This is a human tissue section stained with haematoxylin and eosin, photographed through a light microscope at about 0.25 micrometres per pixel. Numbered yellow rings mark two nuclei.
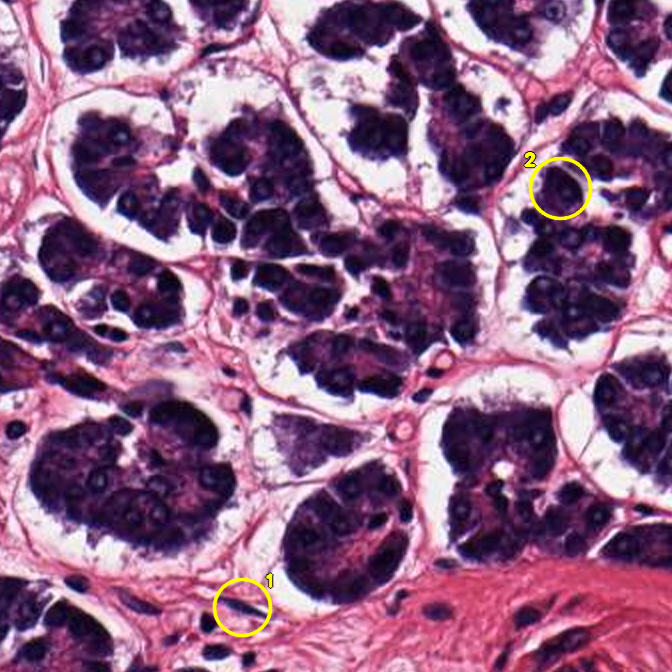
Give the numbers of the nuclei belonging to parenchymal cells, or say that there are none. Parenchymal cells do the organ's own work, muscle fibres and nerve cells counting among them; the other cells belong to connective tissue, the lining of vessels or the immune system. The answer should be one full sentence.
Only the cell of nucleus 2 counts as a parenchymal cell among those marked.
